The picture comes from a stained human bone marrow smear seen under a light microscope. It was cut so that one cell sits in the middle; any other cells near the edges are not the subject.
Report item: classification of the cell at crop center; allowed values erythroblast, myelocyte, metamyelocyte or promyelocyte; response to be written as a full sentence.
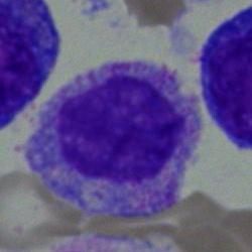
By classification, the middle cell of this crop is a myelocyte.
